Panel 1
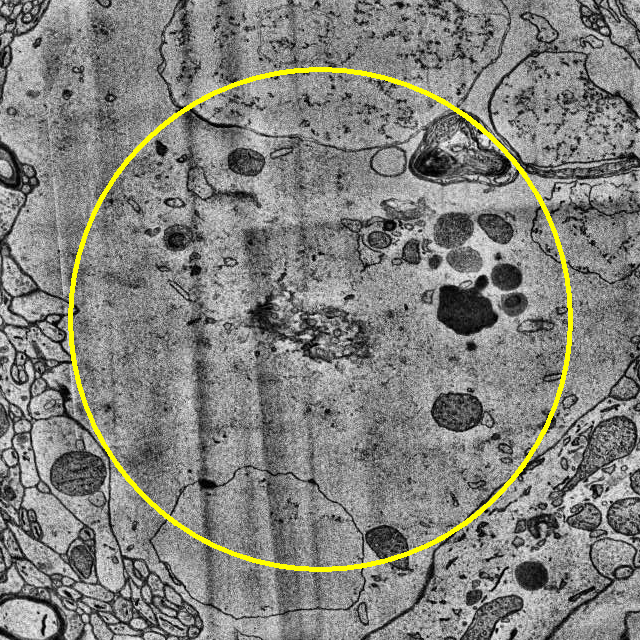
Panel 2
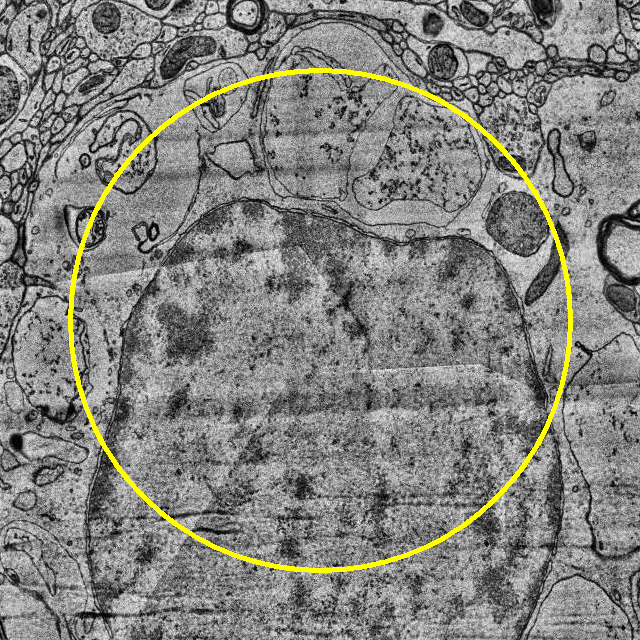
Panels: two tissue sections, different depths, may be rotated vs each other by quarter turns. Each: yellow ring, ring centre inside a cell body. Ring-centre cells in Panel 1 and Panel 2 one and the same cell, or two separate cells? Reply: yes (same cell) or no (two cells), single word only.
no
